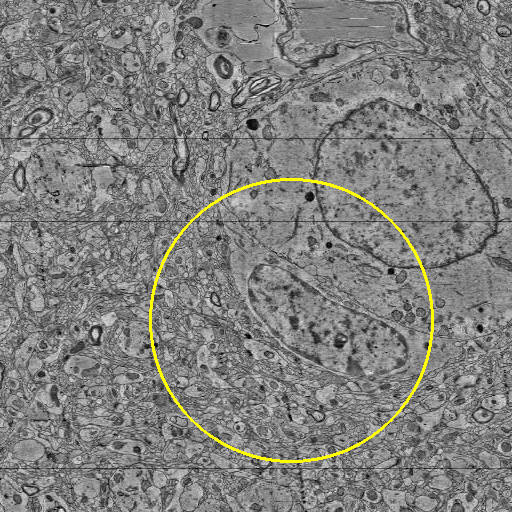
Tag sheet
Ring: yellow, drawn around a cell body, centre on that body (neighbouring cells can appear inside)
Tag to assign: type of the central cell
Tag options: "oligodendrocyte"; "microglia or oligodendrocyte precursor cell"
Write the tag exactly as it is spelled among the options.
microglia or oligodendrocyte precursor cell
